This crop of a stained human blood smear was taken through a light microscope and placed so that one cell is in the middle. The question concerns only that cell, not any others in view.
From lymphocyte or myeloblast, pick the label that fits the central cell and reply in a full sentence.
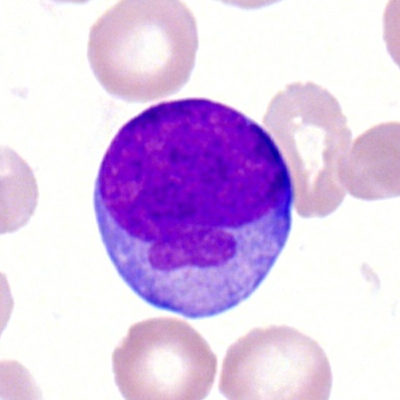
The cell that lies at the centre of the crop is a myeloblast.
